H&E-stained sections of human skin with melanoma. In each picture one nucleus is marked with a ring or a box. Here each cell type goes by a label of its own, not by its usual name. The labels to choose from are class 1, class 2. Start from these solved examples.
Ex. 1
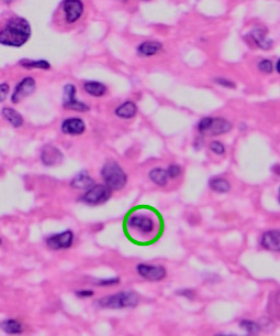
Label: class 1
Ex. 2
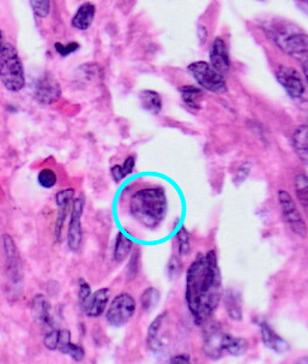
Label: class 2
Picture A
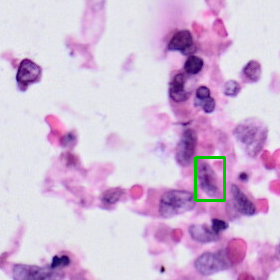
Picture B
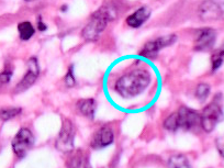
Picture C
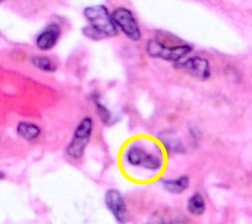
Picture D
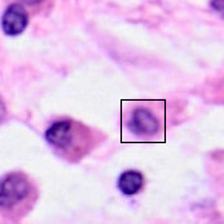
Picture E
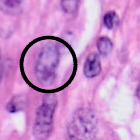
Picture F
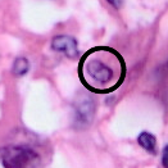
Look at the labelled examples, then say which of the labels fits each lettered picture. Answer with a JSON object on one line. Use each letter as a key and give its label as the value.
{"A": "class 2", "B": "class 2", "C": "class 1", "D": "class 1", "E": "class 2", "F": "class 1"}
